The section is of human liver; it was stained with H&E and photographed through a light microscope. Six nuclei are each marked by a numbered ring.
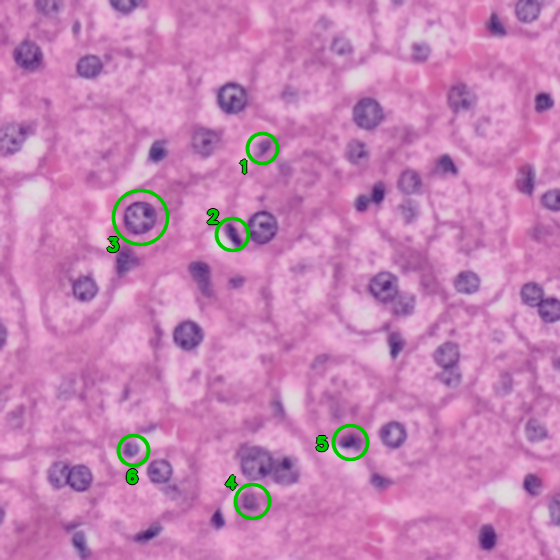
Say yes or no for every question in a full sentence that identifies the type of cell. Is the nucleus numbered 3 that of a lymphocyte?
No, the cell under number 3 is a hepatocyte instead of a lymphocyte.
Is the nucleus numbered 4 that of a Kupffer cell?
Yes, number 4 marks a cell that is a Kupffer cell.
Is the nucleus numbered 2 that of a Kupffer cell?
No, cell 2 is not to be taken for a Kupffer cell; it is a fibroblast or stellate cell.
